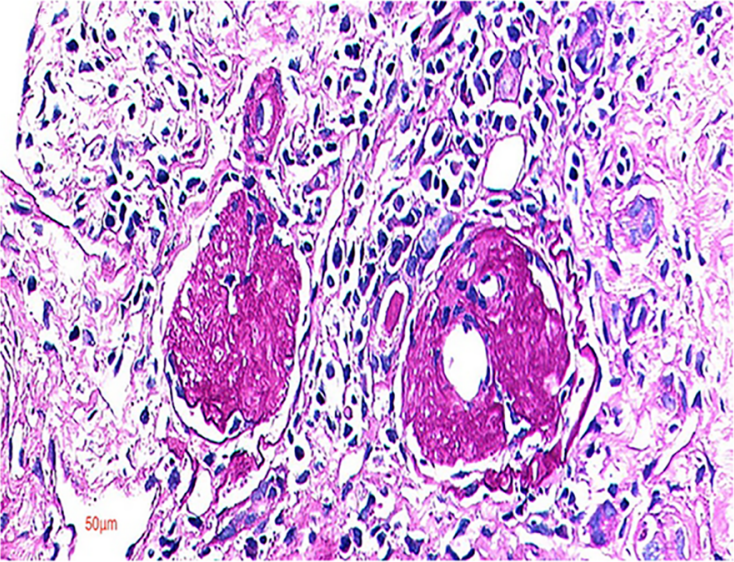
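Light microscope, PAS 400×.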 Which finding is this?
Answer: Global sclerosis glomeruli.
